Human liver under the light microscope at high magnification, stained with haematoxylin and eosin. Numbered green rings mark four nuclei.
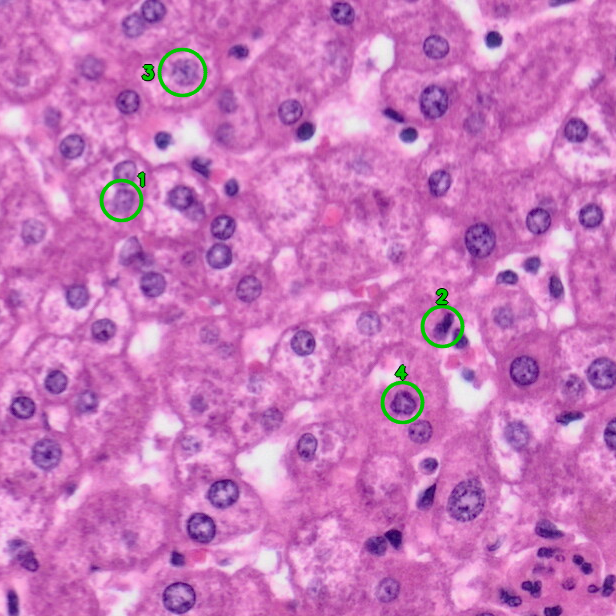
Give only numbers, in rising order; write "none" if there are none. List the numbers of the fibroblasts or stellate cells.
2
